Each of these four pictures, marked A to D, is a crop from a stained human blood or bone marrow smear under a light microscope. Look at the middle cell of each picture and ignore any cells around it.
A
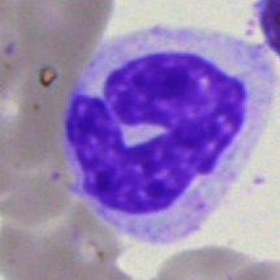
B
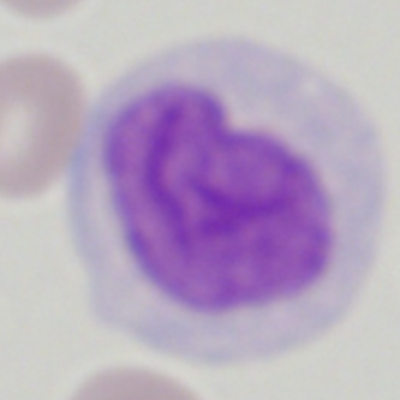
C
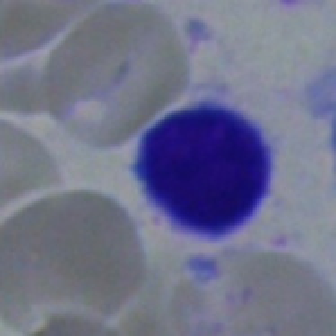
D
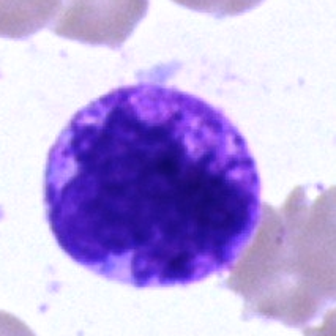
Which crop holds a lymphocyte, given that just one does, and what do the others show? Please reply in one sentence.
Crop C shows a lymphocyte in its middle, while crop A is a band neutrophil, crop B is a monocyte and crop D is a basophil.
